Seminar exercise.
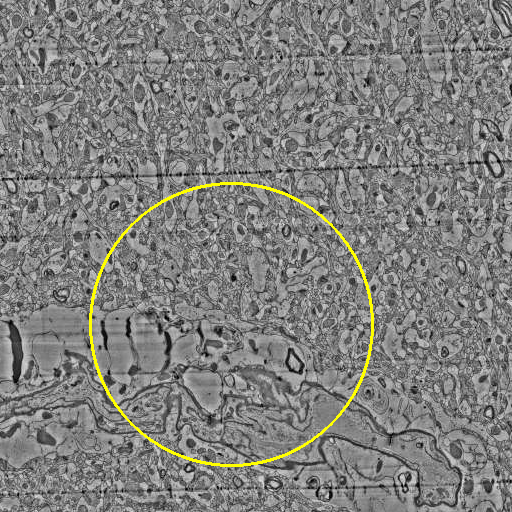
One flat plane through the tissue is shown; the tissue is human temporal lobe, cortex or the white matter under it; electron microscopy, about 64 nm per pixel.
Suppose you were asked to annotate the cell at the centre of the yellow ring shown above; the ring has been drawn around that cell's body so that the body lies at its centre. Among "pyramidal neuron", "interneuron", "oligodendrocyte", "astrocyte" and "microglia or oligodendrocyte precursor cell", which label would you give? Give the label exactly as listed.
oligodendrocyte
